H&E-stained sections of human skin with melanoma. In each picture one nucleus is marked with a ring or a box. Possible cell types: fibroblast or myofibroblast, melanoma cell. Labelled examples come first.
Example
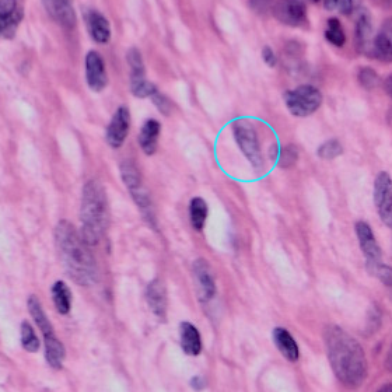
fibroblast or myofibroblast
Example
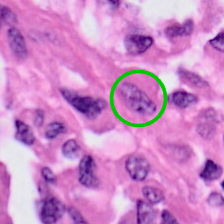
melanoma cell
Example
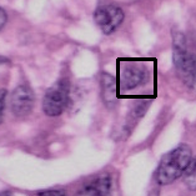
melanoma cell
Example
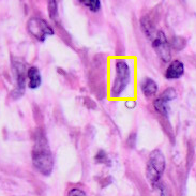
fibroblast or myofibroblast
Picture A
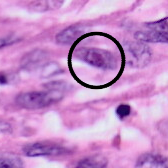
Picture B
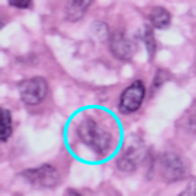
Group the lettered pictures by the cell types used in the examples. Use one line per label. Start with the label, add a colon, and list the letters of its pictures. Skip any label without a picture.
melanoma cell: A, B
